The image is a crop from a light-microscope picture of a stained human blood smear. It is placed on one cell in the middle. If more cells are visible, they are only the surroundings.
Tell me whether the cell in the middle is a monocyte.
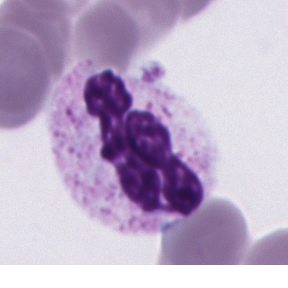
no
